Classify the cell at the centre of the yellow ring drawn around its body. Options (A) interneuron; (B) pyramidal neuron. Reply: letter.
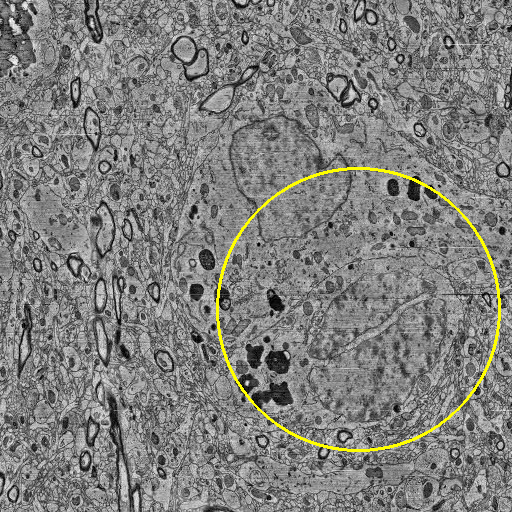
A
